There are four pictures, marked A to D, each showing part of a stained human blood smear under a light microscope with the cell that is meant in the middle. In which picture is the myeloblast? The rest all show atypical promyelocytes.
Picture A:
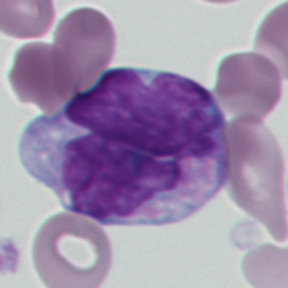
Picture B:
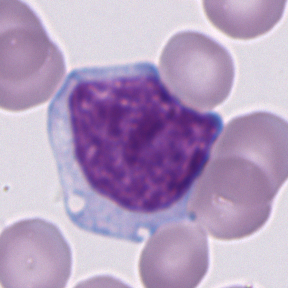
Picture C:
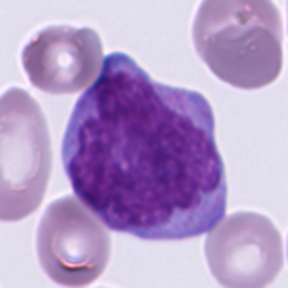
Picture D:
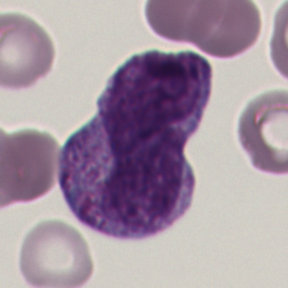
B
